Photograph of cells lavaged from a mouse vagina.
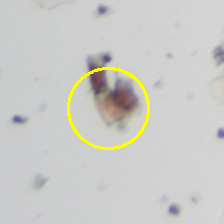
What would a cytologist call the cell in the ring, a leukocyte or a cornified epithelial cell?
A cytologist would call it a cornified epithelial cell.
